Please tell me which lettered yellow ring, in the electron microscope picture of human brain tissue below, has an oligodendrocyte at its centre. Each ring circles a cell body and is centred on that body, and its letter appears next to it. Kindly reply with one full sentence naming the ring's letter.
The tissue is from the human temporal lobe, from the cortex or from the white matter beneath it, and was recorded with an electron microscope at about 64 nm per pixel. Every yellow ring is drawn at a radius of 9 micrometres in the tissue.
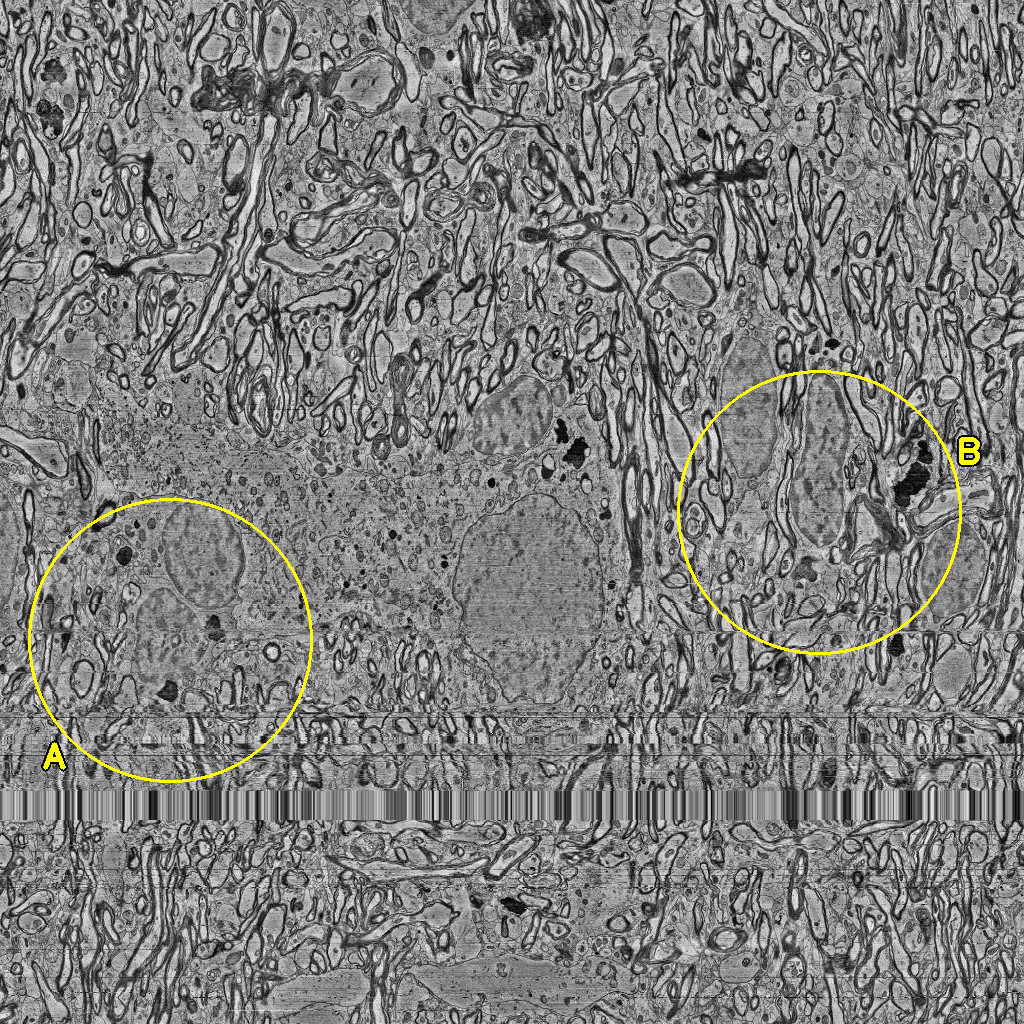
Ring A has the cell asked for at its centre.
